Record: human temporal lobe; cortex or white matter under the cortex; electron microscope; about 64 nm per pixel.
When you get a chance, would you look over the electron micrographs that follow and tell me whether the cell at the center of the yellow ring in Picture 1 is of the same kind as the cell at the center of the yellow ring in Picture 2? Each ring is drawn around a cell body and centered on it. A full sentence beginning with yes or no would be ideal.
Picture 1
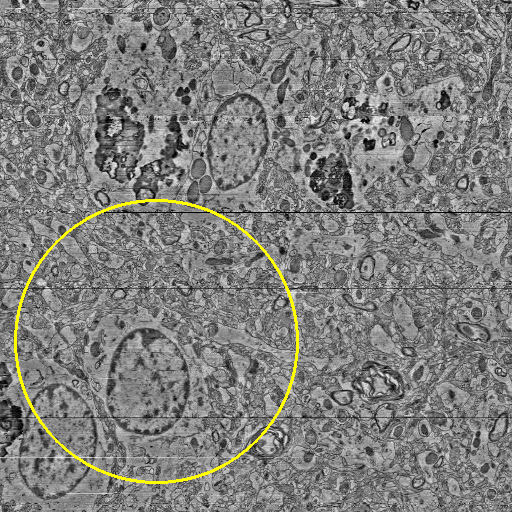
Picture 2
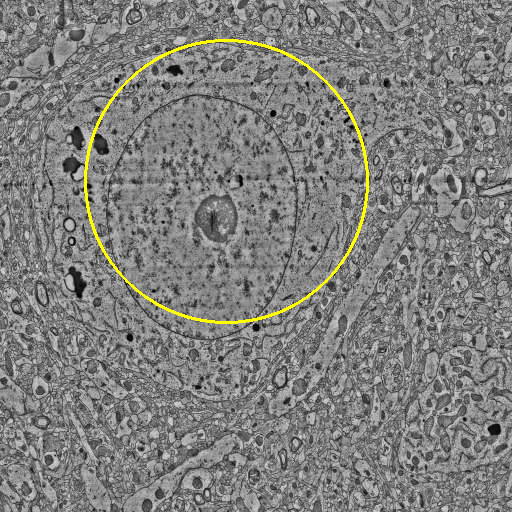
No, they are two kinds of cell.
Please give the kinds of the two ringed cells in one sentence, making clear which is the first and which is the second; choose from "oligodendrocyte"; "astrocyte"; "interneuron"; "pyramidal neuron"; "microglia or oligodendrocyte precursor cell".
In the second picture the ringed cell is a pyramidal neuron; in the first it is an astrocyte.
